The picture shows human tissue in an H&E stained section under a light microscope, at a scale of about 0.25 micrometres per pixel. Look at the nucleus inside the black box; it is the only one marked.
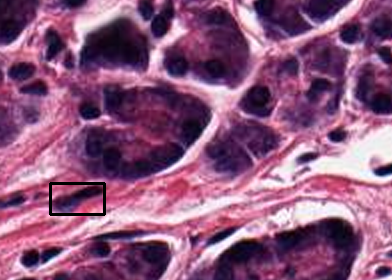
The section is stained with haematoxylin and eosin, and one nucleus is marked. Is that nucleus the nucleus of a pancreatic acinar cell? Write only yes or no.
no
